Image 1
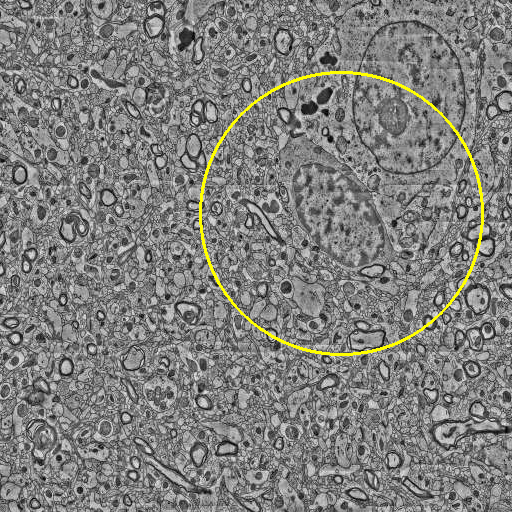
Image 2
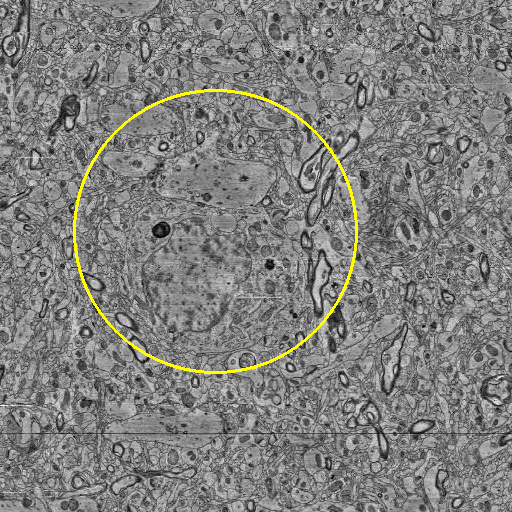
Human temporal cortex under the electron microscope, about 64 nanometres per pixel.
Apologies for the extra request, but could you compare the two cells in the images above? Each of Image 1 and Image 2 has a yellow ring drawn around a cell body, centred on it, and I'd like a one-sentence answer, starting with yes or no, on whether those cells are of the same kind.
No, the two cells are of two kinds.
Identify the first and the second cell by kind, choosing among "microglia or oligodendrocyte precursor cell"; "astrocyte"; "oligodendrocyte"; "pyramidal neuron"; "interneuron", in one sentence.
The one in the first picture is an oligodendrocyte, while the one in the second is an interneuron.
